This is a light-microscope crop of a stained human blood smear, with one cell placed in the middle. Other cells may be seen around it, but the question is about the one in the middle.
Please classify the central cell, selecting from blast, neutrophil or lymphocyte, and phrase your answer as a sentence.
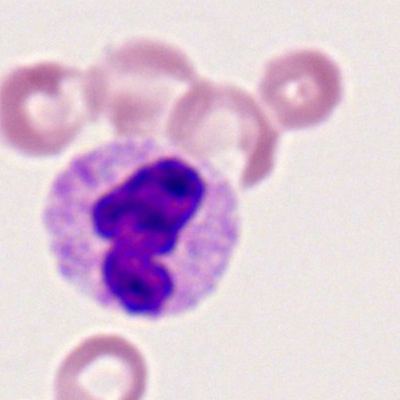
In the middle of this smear crop is a neutrophil.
